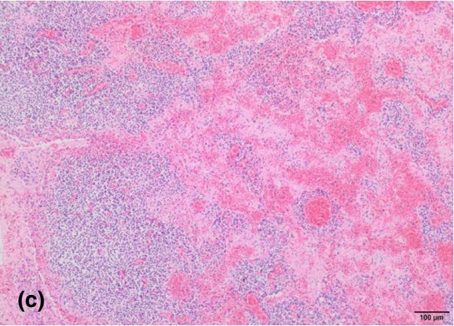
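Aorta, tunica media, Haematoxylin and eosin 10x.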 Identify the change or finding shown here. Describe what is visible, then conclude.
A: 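Haemorrhage. Broad, confluent eosinophilic red areas made of packed small anucleate cells. These red areas lie between and around dense blue cellular zones.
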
